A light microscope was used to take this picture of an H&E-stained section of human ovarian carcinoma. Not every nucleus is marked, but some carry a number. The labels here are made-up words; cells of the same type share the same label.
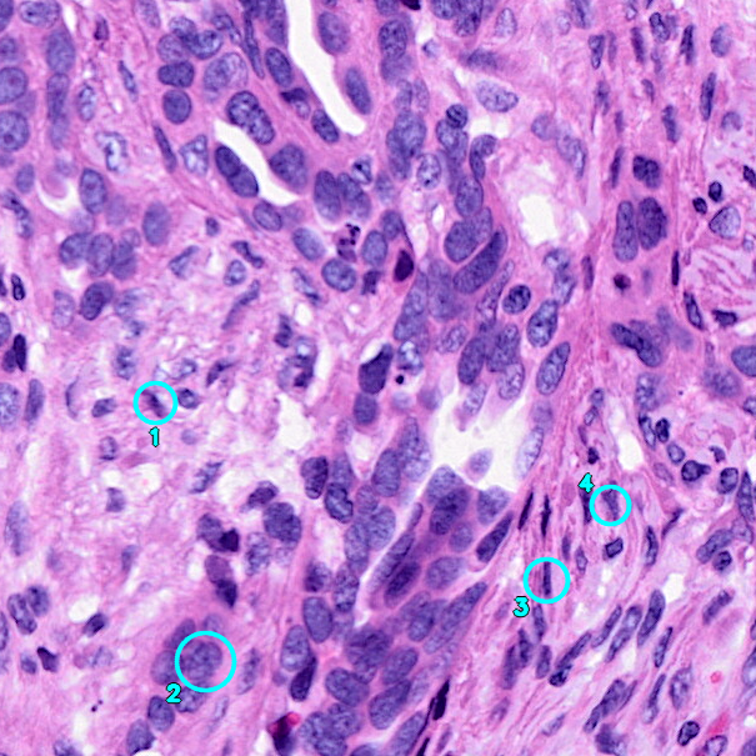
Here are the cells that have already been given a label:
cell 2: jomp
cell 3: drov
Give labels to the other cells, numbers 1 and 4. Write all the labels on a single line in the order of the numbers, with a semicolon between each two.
drov; drov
